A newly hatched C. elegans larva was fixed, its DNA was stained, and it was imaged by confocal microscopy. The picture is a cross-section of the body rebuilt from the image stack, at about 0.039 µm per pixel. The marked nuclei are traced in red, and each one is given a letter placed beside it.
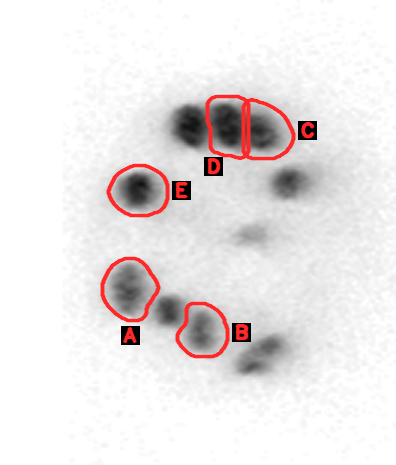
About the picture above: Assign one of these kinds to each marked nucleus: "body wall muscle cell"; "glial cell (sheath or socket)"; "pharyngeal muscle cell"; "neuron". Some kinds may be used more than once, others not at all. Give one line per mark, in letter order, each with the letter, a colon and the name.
A: glial cell (sheath or socket)
B: pharyngeal muscle cell
C: body wall muscle cell
D: neuron
E: neuron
